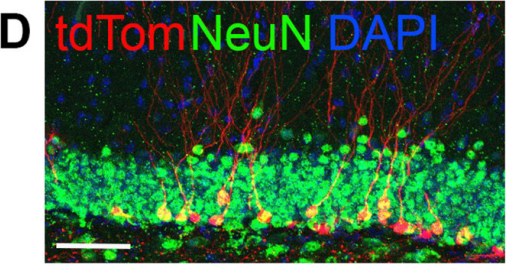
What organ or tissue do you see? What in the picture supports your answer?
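Dentate gyrus. A thick band of densely packed small round neuronal cell bodies. A sparsely nucleated layer above the band into which dendrites extend. Cell bodies sit at the inner edge of the band with dendrites running outward.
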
